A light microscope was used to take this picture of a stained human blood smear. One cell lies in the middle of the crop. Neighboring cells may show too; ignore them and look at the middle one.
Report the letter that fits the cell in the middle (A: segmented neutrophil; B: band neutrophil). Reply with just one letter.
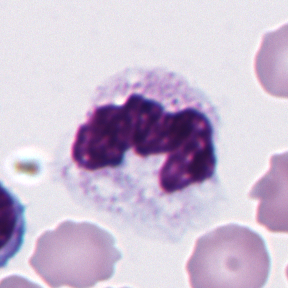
A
